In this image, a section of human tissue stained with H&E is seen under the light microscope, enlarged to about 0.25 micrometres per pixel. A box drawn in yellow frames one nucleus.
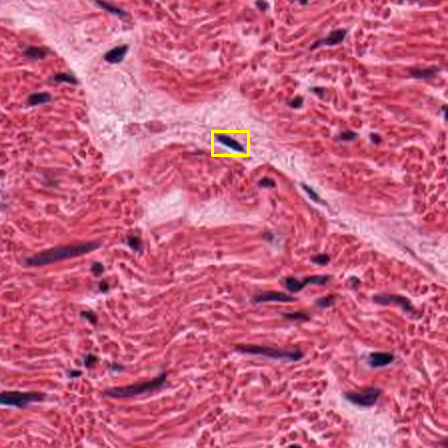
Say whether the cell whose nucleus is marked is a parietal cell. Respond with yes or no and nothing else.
no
